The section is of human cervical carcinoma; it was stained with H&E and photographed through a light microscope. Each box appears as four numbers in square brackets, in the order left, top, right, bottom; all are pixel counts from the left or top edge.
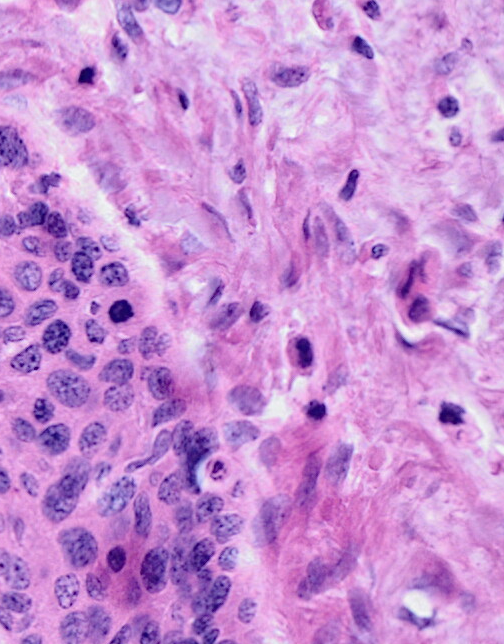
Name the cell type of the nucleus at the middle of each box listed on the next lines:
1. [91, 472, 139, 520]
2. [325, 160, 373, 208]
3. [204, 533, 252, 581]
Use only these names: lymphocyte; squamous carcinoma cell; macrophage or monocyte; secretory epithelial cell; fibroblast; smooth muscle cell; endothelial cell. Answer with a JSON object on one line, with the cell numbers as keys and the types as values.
{"1": "squamous carcinoma cell", "2": "lymphocyte", "3": "squamous carcinoma cell"}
